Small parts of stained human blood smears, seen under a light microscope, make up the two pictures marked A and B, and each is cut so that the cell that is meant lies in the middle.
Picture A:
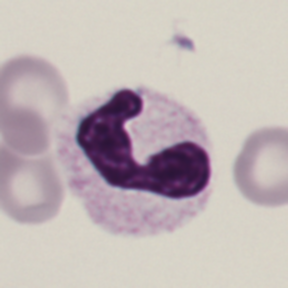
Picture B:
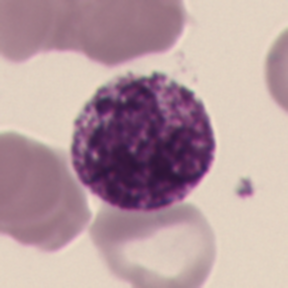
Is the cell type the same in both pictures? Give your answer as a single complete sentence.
No, picture A shows a segmented neutrophil and picture B shows a basophil.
